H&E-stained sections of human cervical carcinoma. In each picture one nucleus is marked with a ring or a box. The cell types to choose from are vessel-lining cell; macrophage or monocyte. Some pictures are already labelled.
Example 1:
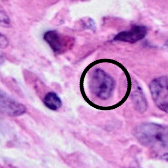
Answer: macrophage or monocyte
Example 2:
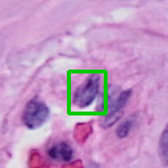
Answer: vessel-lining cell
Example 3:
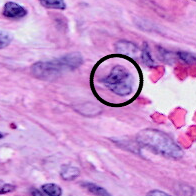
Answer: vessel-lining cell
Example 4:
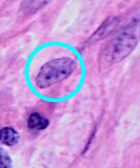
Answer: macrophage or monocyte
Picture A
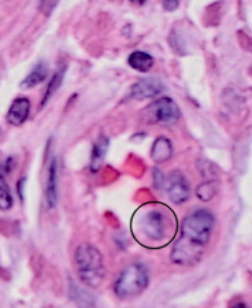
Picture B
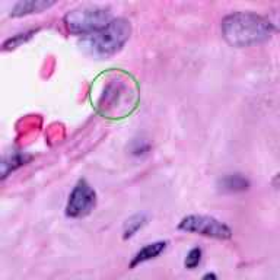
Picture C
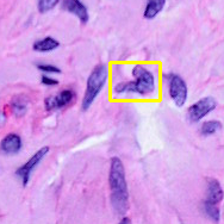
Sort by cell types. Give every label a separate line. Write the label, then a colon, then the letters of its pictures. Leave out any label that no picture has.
vessel-lining cell: A, B
macrophage or monocyte: C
